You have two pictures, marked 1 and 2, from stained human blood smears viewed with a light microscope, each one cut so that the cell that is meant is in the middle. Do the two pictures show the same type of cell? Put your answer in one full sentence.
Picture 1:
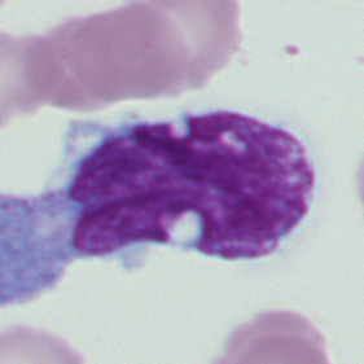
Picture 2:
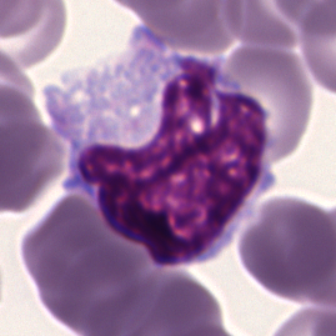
Yes, the two pictures both show monocytes.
